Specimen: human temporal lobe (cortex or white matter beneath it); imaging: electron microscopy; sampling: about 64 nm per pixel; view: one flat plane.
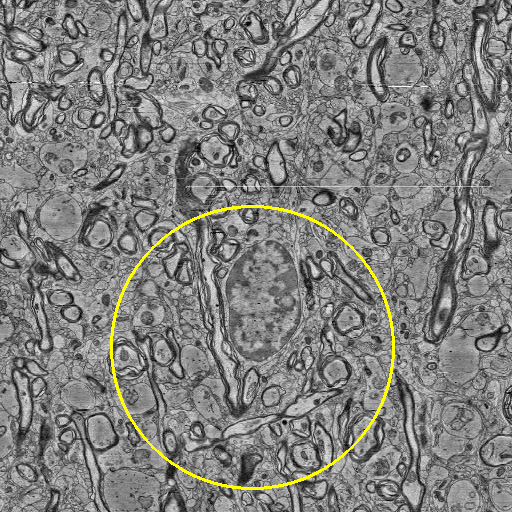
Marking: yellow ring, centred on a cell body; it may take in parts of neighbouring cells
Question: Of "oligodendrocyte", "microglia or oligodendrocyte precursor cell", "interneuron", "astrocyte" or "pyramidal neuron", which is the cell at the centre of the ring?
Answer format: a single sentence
The ring surrounds the body of a microglial cell or oligodendrocyte precursor cell.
